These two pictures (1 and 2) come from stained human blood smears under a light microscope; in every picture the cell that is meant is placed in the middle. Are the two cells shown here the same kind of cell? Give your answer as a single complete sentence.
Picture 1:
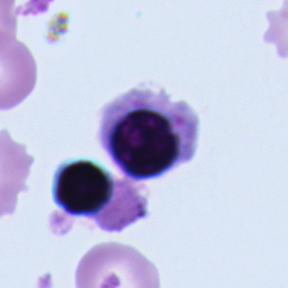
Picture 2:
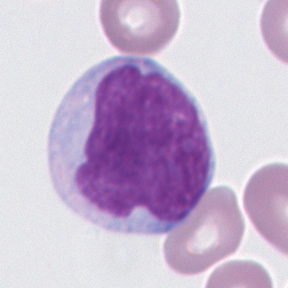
No, the types are not the same, since picture 1 shows a normoblast and picture 2 an atypical promyelocyte.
